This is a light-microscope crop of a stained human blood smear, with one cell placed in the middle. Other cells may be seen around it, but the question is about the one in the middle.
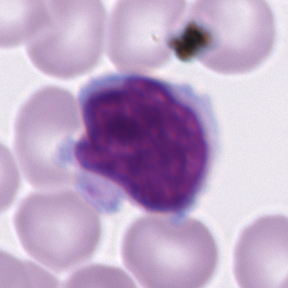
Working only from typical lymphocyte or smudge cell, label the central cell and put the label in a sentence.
The cell at the centre of the field is a typical lymphocyte.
